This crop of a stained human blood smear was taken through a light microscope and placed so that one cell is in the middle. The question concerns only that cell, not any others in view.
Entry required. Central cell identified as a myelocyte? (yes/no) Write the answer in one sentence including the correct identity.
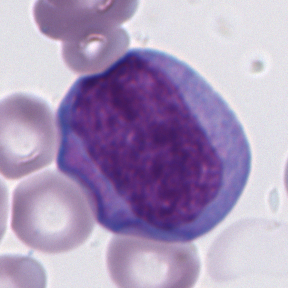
No, not a myelocyte: the cell in the middle of this crop is a promyelocyte.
